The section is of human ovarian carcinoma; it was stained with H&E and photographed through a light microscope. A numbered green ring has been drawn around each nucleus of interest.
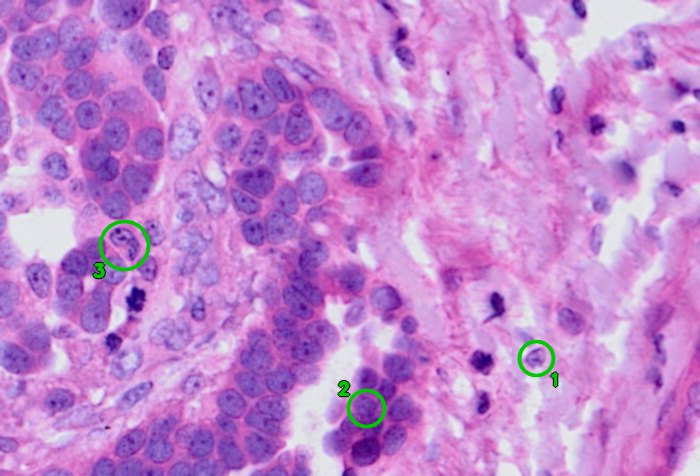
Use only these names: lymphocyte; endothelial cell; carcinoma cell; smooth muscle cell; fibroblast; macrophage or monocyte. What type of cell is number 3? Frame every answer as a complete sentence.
The cell pointed out as number 3 is a macrophage or monocyte.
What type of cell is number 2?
The nucleus marked 2 is the nucleus of a carcinoma cell.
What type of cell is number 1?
Marked with the number 1, this cell is a lymphocyte.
